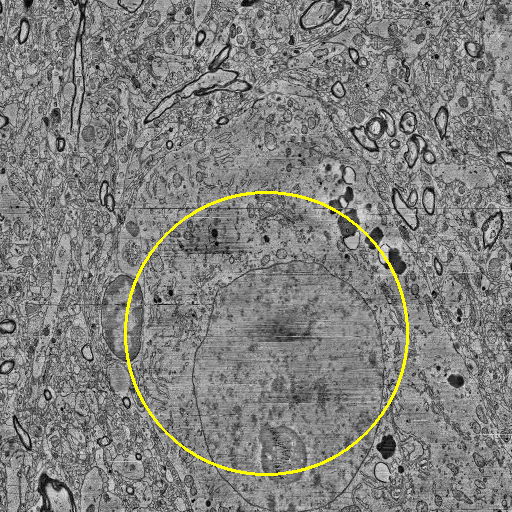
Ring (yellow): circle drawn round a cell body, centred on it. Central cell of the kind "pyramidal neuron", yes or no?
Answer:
yes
